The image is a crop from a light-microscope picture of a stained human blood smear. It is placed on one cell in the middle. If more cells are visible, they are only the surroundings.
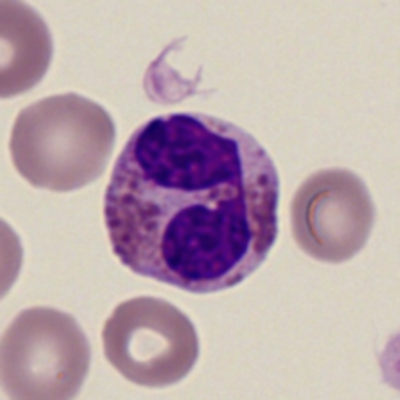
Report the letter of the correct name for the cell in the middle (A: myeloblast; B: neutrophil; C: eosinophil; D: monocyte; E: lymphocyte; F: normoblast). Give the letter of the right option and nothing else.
C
